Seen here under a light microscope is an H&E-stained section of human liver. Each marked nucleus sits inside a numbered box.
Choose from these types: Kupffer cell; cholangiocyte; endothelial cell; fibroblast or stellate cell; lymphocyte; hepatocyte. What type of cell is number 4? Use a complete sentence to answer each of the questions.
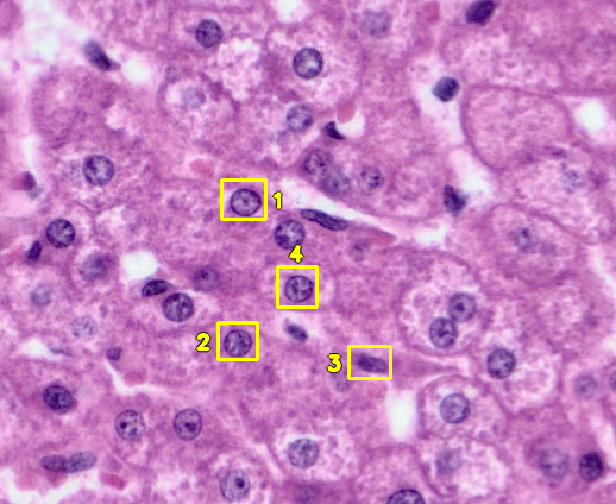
The cell with the number 4 is a hepatocyte.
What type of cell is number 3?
The label 3 in this section denotes a Kupffer cell.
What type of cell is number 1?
Cell number 1 in this section is a hepatocyte.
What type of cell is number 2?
The one numbered 2 among the marked cells is a hepatocyte.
